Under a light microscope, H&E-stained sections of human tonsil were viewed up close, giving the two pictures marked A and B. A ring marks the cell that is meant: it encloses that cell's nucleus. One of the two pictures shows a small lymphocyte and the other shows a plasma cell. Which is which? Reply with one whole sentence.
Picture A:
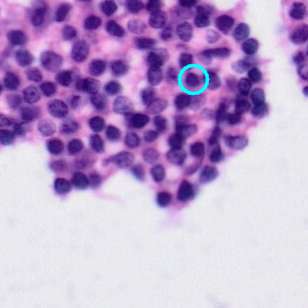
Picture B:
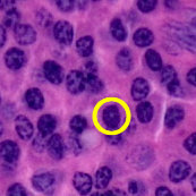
It is picture A that shows a small lymphocyte, and picture B that shows a plasma cell.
